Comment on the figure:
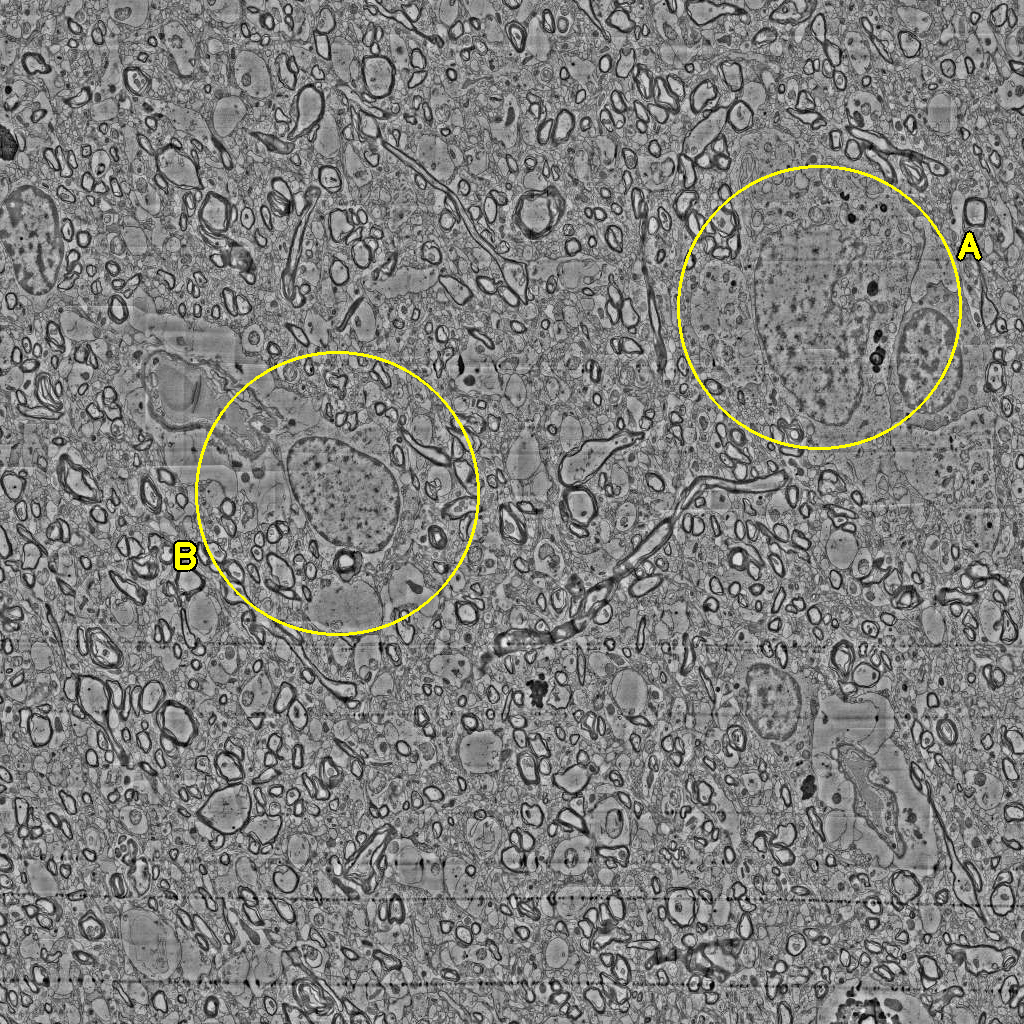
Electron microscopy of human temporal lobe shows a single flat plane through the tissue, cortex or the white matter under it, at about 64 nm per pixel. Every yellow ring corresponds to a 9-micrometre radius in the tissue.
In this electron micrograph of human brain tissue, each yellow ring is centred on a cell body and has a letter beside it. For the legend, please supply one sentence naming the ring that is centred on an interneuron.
Ring A is centred on that cell.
